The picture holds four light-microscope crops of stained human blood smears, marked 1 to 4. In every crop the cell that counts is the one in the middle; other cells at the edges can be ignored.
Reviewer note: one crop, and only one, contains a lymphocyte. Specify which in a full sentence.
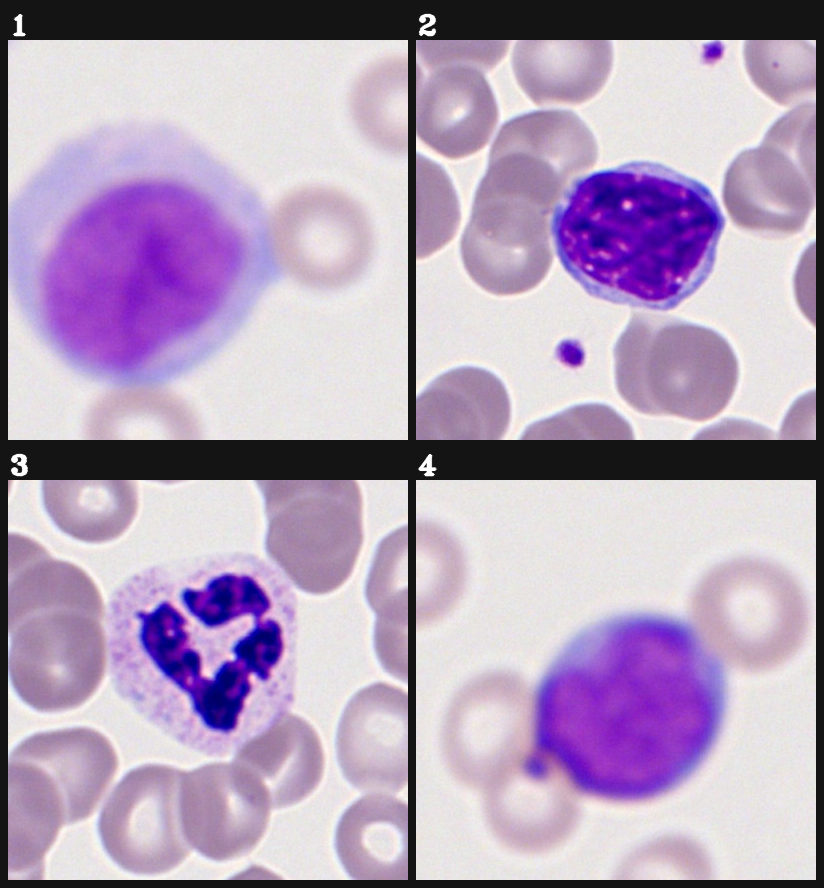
Look at crop 2; that is the one with a lymphocyte in its center.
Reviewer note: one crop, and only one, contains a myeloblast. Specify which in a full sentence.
Crop 4 is the crop in which a myeloblast is shown.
